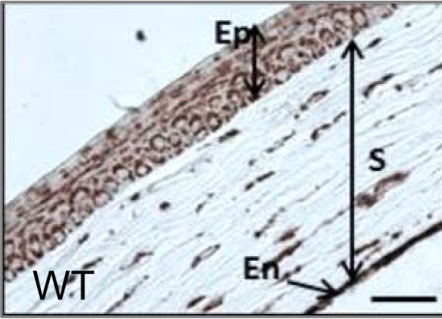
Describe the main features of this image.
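This is a cross-section through the cornea, with the stratified epithelium along the outer surface, the thick stroma in the middle and the endothelium along the inner surface. The epithelium is several cells deep, its cells tightly packed with rounded nuclei that take up a brown stain. The stroma is pale and built of long parallel lamellae, between which lie sparse, flattened, spindle-shaped cells, many with brown nuclei. On the inner side, a thin, dark line of flattened cells forms the single-layered endothelium.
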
